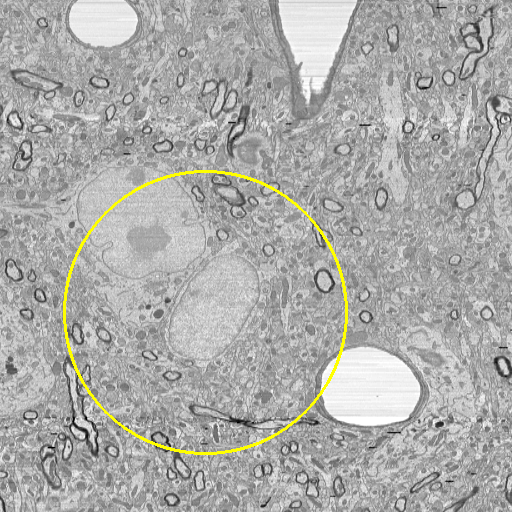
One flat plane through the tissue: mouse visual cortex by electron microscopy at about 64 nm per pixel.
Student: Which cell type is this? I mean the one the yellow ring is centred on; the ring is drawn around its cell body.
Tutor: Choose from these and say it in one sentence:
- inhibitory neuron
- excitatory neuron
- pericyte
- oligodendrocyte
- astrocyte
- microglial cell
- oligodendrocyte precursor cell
The cell the ring is centred on is an astrocyte.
